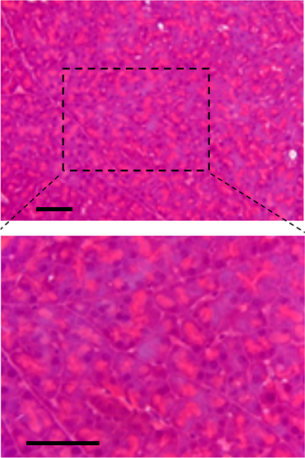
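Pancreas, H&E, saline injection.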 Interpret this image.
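Pancreatic tissue with normal histology, made of closely packed acini. The acinar cells have purple nuclei toward the base and bright pink granular cytoplasm toward the centre of each acinus, with hardly any space between acini.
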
